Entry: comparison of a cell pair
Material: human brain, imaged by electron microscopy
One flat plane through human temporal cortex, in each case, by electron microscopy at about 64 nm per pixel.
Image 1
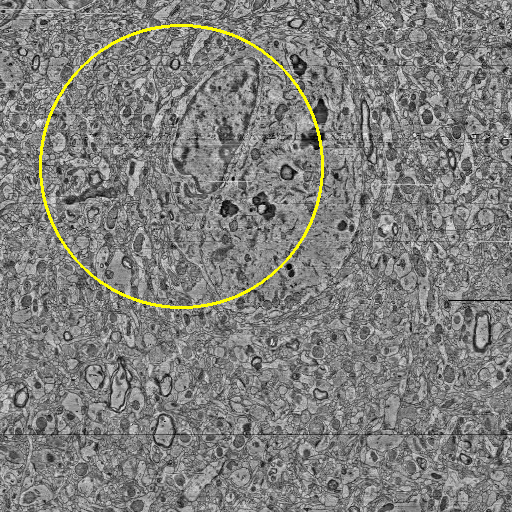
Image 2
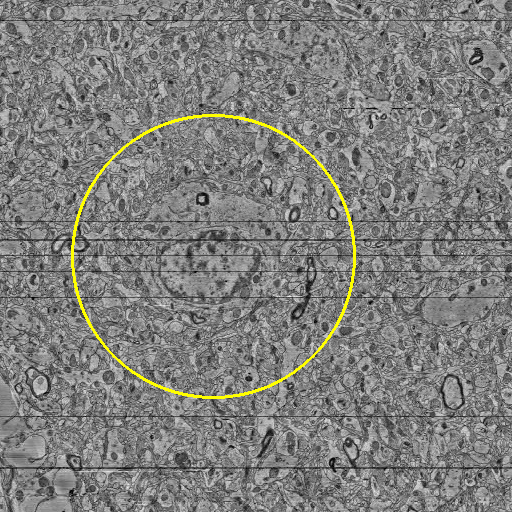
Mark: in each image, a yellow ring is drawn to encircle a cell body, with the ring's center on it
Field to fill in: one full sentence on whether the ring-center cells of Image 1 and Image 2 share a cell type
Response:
No, Image 1 and Image 2 show ring-center cells of two separate types.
